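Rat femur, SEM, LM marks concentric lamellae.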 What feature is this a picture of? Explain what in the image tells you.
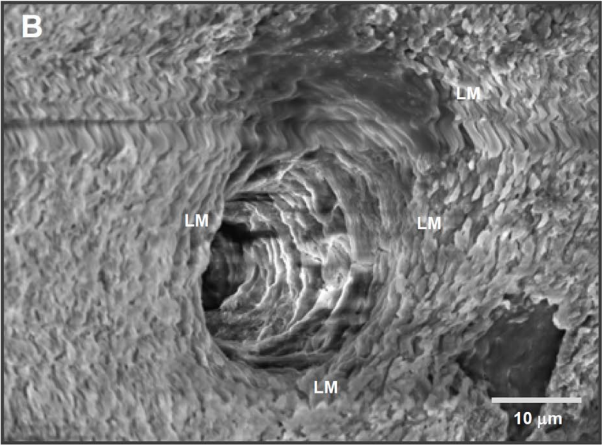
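Haversian canal. A single round channel runs into the bone at the centre of the view. The channel wall is built of stacked rings around the opening.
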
